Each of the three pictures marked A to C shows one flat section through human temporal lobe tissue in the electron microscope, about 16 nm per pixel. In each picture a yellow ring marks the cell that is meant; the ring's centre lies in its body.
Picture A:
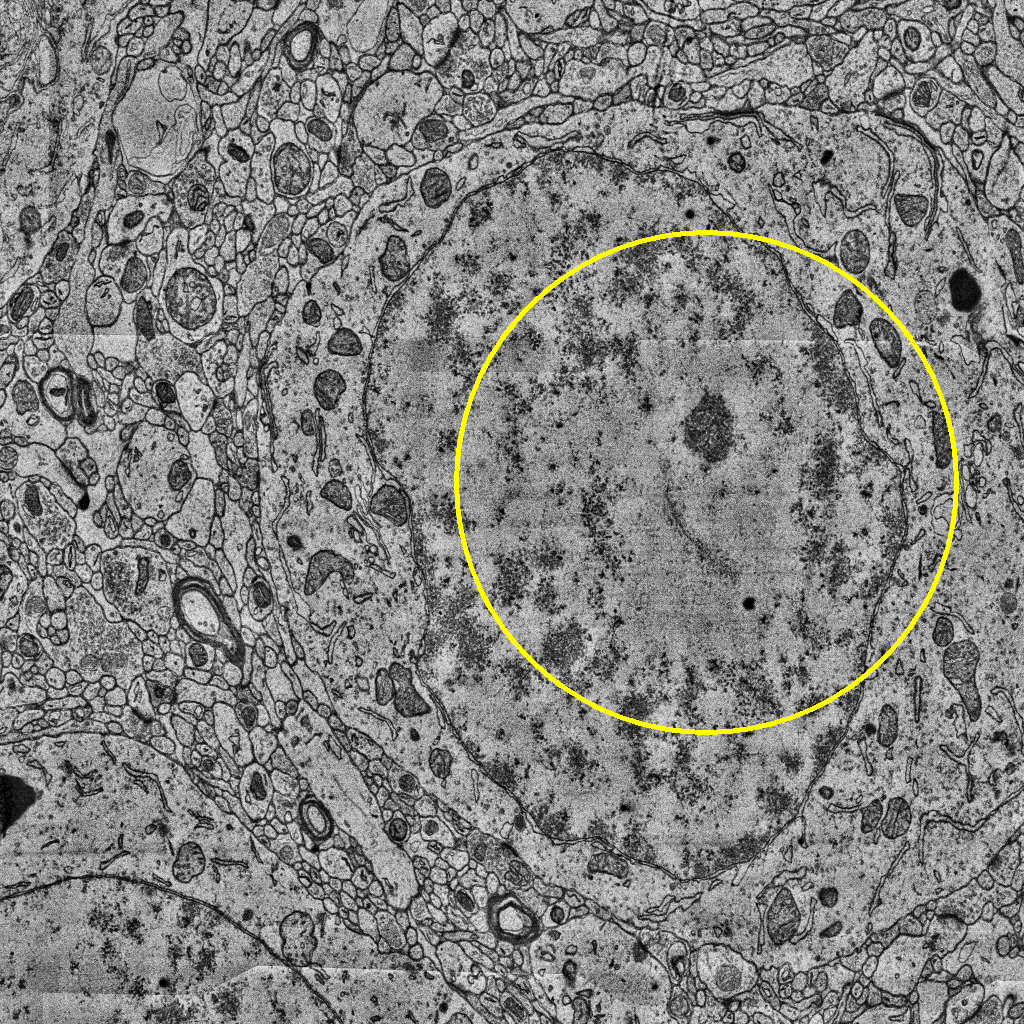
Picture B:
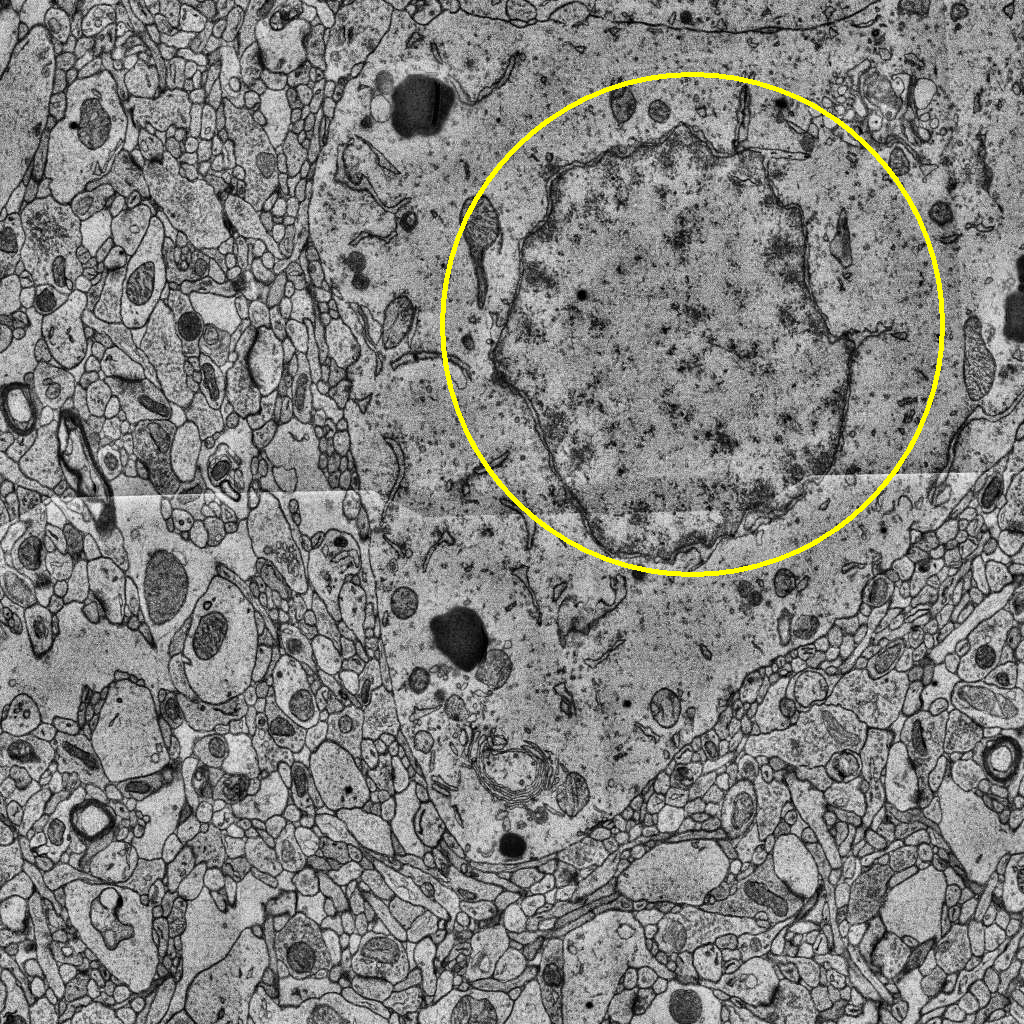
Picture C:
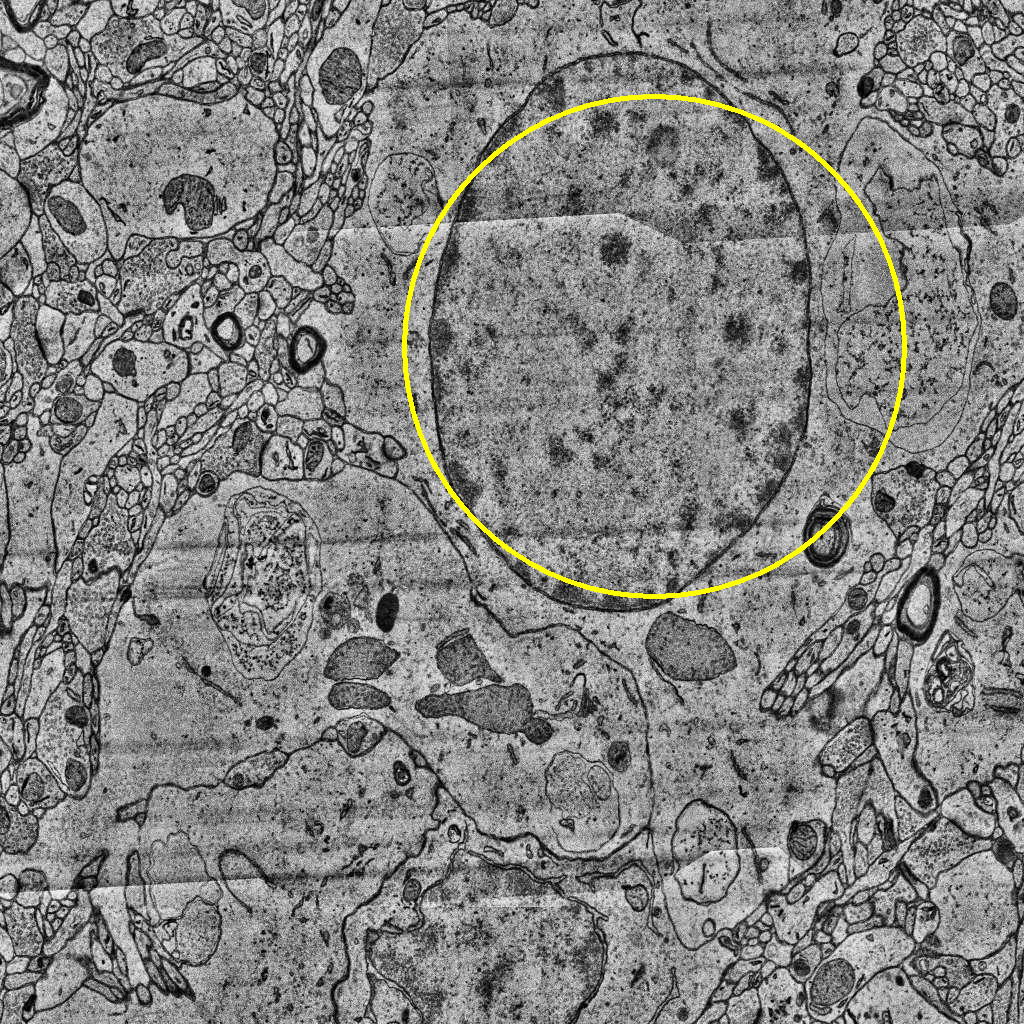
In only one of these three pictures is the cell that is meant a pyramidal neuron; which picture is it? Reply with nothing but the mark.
B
